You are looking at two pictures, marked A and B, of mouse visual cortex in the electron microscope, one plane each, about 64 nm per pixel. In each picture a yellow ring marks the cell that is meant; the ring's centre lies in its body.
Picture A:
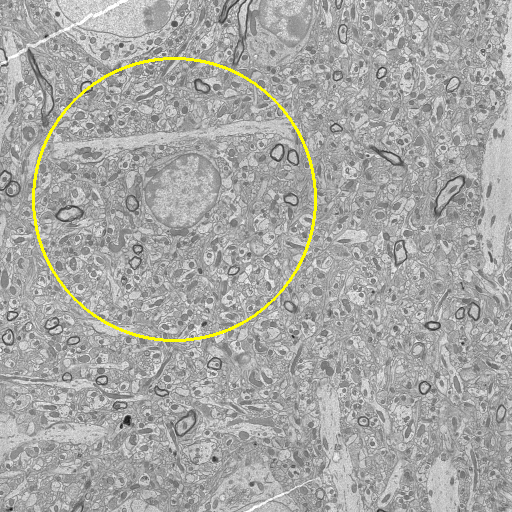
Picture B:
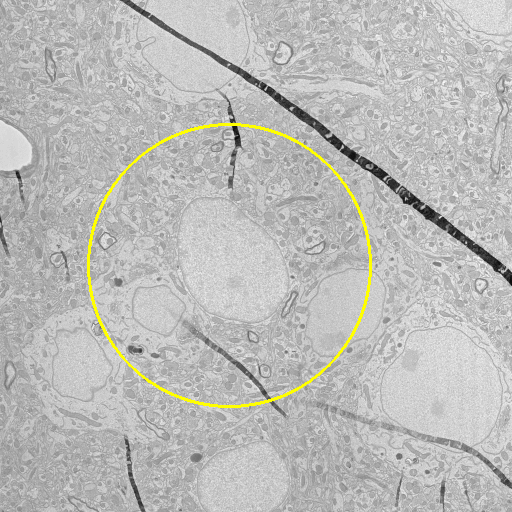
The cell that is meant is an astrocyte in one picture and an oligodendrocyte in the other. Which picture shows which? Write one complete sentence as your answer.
Picture B shows an astrocyte, while picture A shows an oligodendrocyte.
